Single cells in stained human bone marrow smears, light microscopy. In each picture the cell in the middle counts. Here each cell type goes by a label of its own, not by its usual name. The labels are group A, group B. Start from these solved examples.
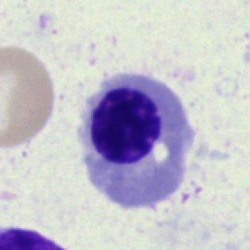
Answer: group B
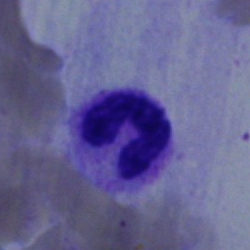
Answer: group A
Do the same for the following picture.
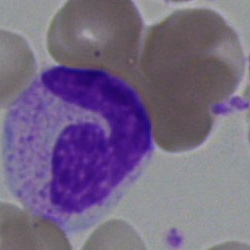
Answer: group A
